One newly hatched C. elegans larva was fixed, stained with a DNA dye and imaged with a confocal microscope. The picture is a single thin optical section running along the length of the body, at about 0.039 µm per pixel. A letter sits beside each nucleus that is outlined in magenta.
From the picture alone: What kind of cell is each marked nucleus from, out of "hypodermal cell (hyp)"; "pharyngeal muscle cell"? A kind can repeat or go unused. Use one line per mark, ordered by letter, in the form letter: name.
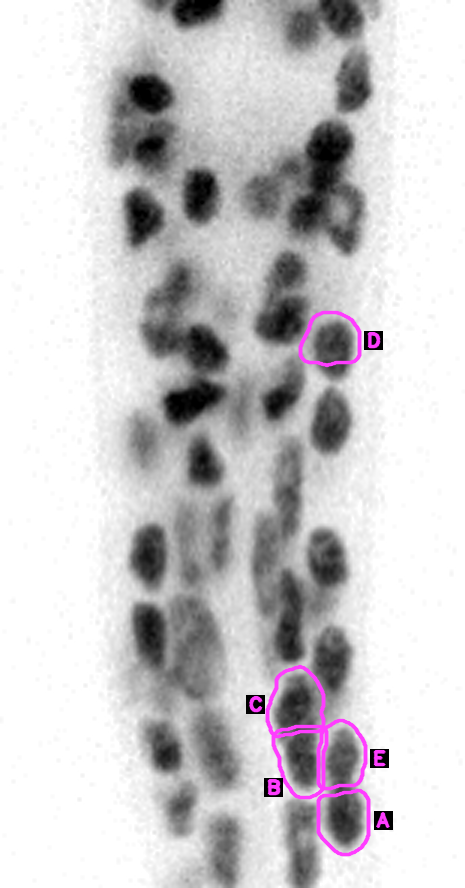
A: hypodermal cell (hyp)
B: pharyngeal muscle cell
C: pharyngeal muscle cell
D: hypodermal cell (hyp)
E: hypodermal cell (hyp)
